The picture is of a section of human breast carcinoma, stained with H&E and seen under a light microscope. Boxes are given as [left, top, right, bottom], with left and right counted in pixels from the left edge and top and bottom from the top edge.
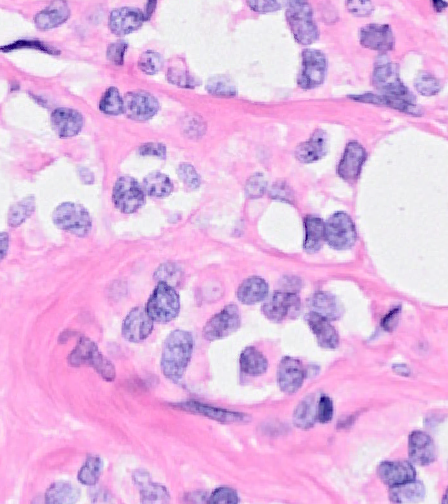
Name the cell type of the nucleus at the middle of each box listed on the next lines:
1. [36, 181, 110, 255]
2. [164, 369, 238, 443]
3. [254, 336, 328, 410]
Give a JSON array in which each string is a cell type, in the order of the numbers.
["carcinoma cell", "endothelial cell", "carcinoma cell"]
